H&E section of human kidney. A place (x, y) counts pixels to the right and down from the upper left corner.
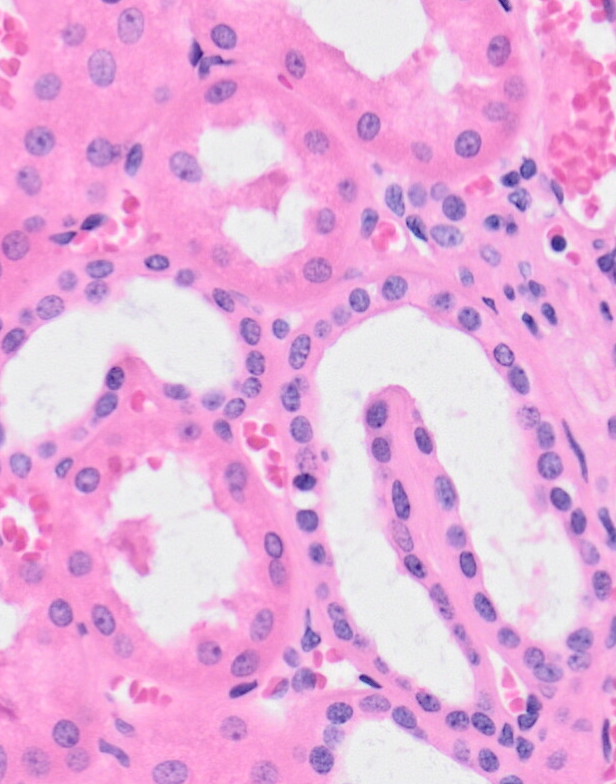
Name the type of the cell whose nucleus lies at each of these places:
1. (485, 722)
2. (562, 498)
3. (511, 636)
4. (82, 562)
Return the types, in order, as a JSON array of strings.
["collecting duct cell", "collecting duct cell", "collecting duct cell", "proximal tubule cell"]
